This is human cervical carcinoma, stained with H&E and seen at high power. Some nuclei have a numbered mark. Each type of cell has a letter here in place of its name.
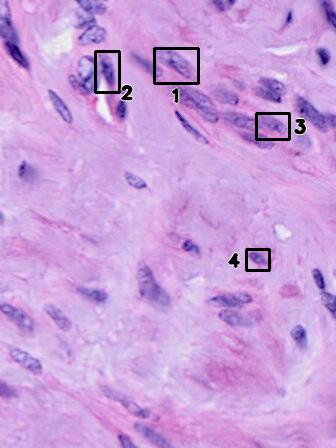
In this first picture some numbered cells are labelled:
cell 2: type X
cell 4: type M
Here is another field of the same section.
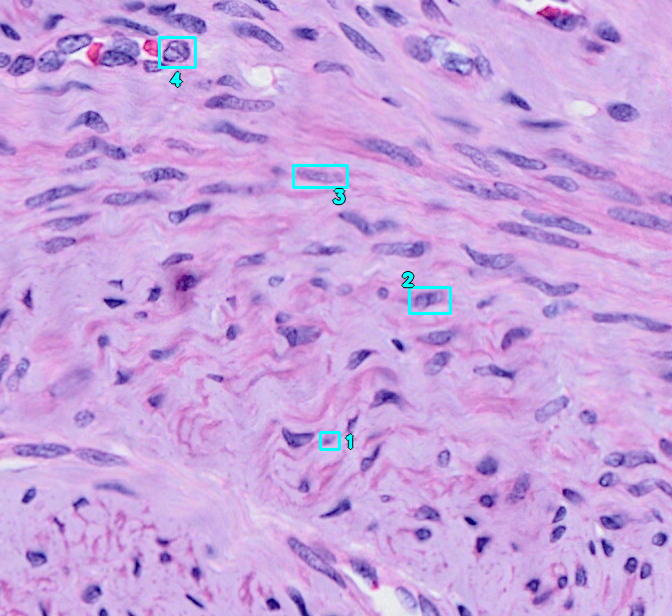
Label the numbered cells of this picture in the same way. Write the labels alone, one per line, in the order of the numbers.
type M
type M
type M
type X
